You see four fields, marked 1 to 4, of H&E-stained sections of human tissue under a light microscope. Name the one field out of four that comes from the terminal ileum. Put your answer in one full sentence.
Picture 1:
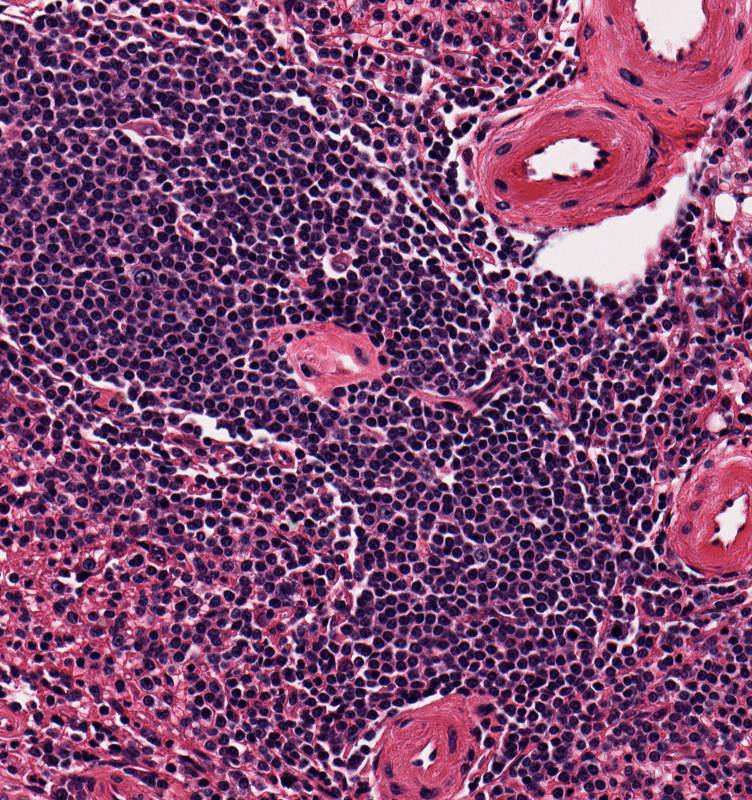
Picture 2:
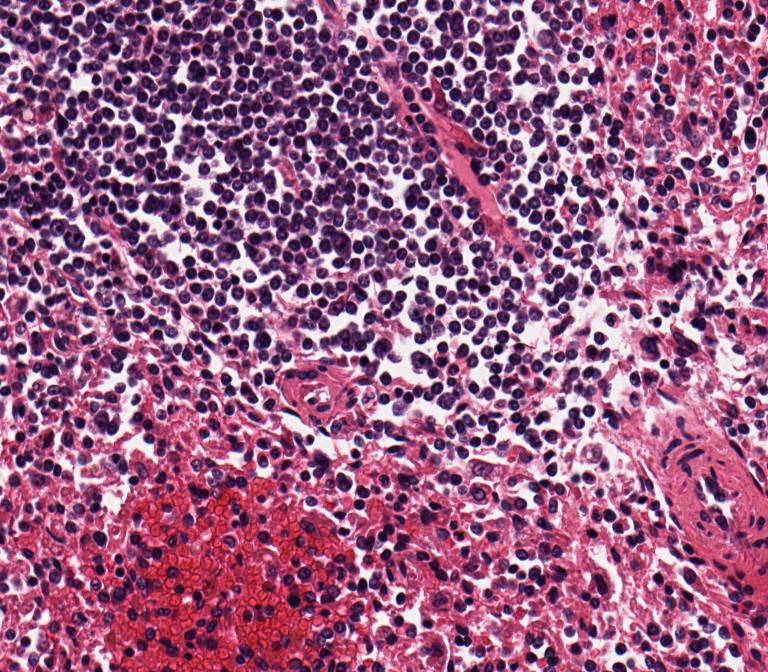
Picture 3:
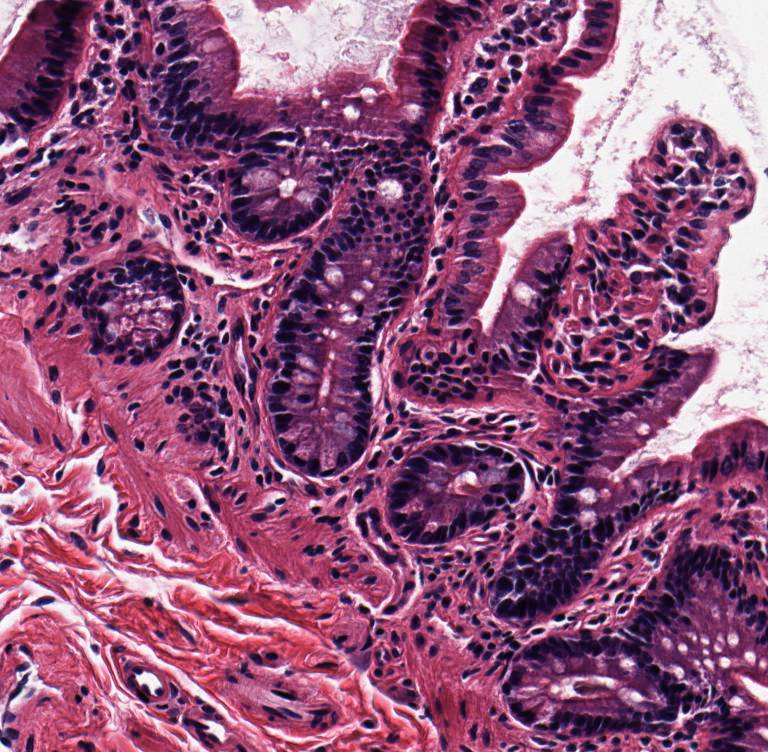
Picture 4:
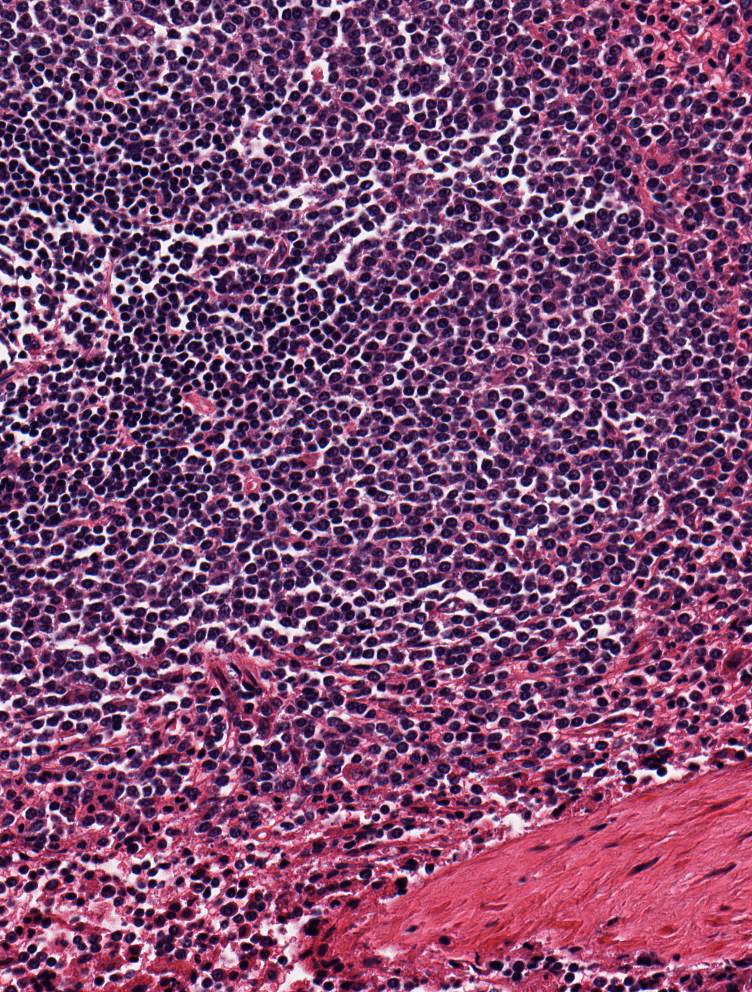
Picture 3 is the field that comes from the terminal ileum.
